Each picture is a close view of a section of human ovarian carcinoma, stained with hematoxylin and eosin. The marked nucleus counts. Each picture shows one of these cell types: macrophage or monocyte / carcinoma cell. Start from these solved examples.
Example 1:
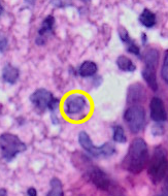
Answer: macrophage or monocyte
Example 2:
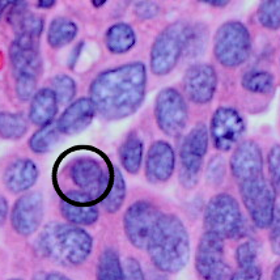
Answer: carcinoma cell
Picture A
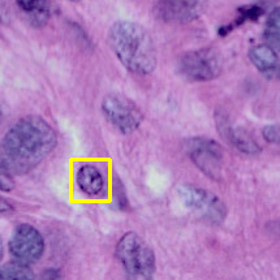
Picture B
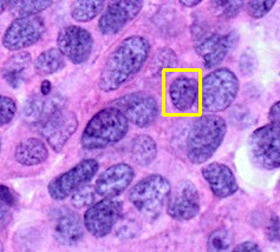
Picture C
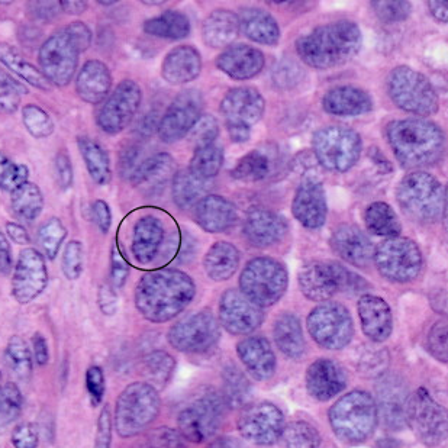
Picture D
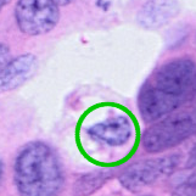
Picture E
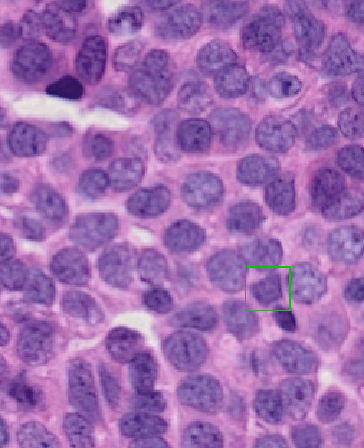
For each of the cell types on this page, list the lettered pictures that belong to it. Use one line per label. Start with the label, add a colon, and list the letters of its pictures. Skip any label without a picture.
macrophage or monocyte: A, D
carcinoma cell: B, C, E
